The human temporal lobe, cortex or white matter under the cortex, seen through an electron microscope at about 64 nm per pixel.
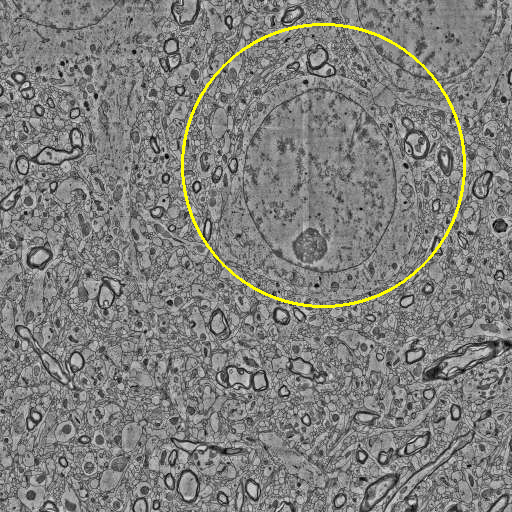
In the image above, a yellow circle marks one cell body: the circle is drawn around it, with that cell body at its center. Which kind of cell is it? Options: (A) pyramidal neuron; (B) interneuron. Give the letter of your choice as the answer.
A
